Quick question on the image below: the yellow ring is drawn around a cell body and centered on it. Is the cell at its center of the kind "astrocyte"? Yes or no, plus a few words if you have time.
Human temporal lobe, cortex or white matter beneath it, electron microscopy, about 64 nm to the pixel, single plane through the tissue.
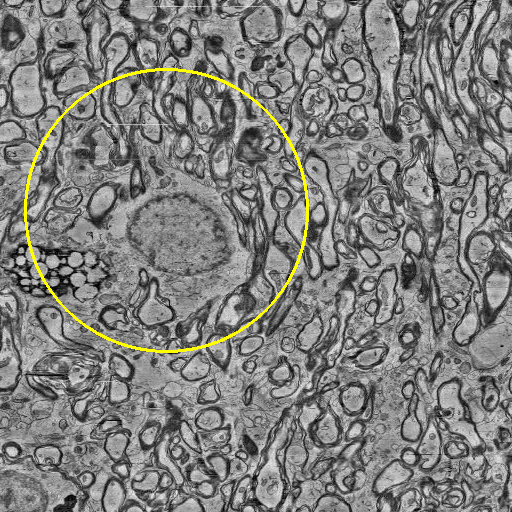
Yes, the cell at the center is of that kind.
